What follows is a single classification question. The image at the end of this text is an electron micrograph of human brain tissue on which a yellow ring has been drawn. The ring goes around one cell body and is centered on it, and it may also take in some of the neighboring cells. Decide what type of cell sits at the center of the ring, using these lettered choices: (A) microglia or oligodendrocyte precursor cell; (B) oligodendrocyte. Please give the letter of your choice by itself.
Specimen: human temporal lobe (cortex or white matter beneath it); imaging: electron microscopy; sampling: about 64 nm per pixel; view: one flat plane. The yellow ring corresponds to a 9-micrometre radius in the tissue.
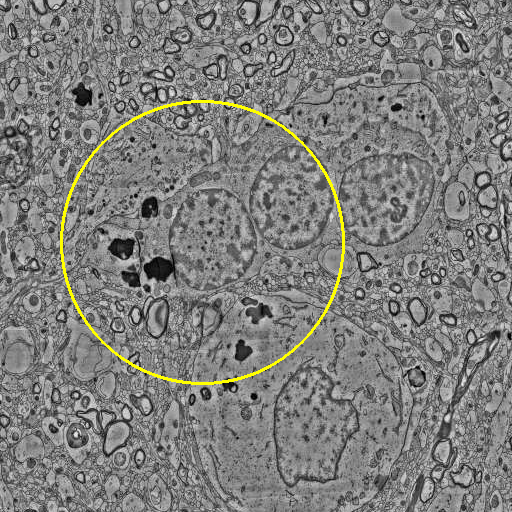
B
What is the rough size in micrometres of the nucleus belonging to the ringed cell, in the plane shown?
In this plane the nucleus is about 6 micrometres across.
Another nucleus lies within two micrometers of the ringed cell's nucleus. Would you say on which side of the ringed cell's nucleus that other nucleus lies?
That other nucleus sits to the upper right of it.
